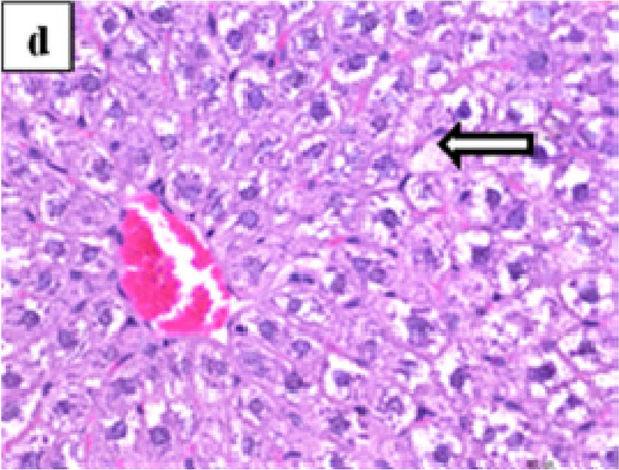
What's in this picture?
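Liver parenchyma around a central vein in which the hepatocytes show vacuolar degeneration. The central vein contains packed red blood cells that stain bright red. Hepatocytes look swollen, with pale, cleared and vacuolated cytoplasm around round purple nuclei, and the cords are less orderly than in normal liver. The sinusoids are narrowed and hard to make out between the swollen cells. An arrow marks a small pale area where cell outlines are indistinct.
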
